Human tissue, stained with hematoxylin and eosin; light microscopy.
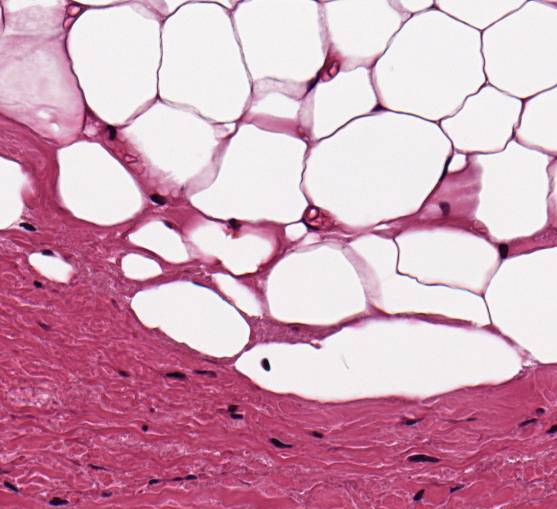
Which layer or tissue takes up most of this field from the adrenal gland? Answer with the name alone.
fat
